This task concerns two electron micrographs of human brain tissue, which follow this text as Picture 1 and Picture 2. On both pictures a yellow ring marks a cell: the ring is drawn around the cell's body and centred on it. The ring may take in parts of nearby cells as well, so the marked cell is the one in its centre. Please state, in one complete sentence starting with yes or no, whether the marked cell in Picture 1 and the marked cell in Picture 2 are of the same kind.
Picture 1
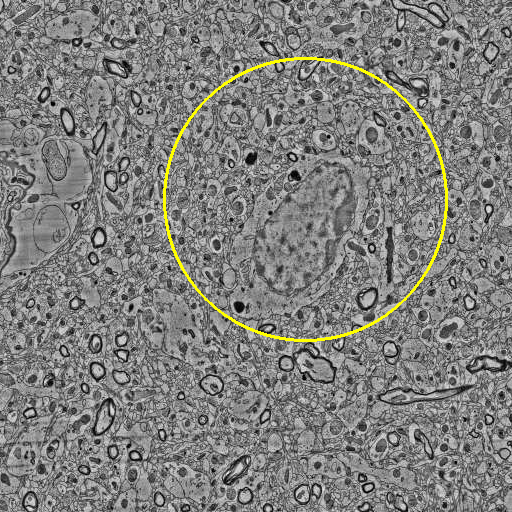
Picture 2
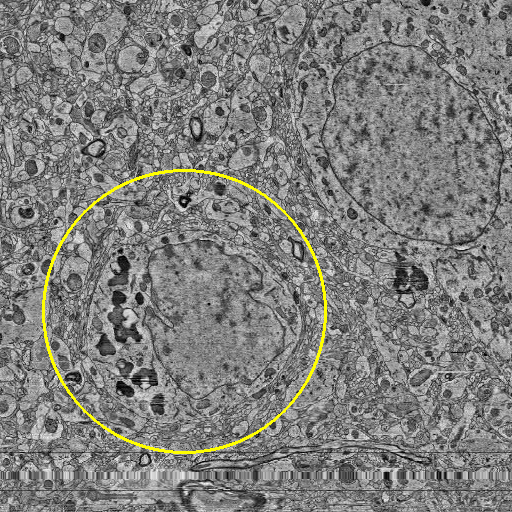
Yes, the marked cells in both pictures are of the same kind.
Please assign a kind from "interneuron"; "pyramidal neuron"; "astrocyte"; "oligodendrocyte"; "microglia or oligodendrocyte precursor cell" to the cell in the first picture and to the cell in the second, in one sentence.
Each one of the two ringed cells is an interneuron.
